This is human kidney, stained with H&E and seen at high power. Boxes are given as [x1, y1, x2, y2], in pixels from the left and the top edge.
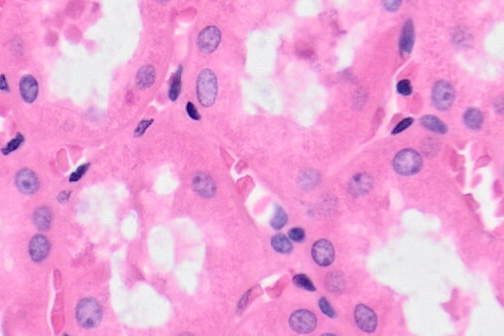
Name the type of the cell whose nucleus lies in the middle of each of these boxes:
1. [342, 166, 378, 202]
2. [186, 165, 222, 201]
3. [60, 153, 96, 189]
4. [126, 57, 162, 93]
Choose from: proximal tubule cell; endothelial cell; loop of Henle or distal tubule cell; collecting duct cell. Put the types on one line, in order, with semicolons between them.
proximal tubule cell; proximal tubule cell; endothelial cell; proximal tubule cell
